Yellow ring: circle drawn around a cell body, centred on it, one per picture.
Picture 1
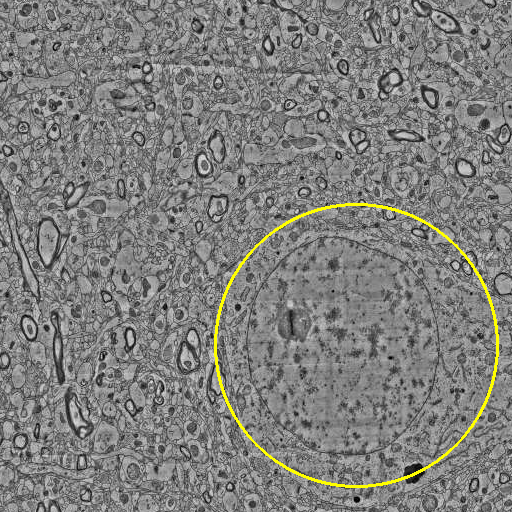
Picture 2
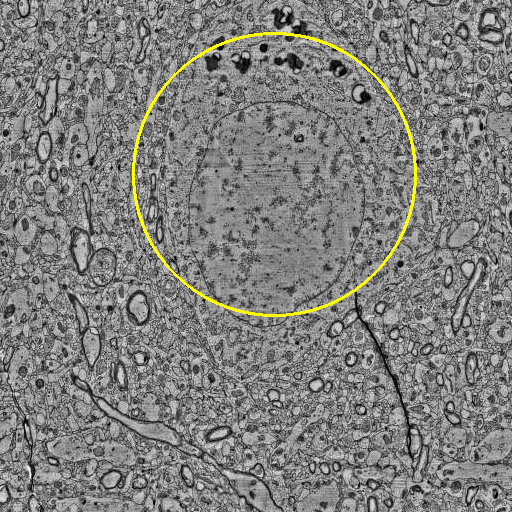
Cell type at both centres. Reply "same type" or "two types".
same type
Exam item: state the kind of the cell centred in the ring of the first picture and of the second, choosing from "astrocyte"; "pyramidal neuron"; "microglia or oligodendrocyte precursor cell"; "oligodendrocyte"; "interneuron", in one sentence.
The cell at the ring centre is a pyramidal neuron in both pictures.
